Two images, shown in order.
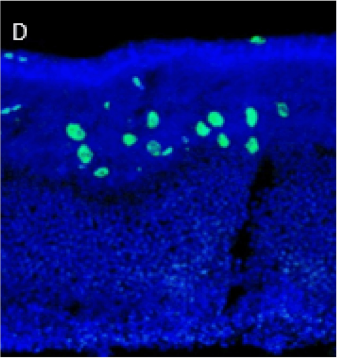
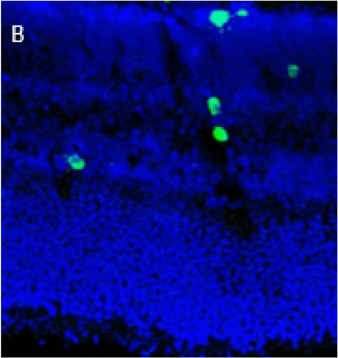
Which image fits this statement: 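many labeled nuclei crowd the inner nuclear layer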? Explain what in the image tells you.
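The first image. First image: about a dozen bright green oval nuclei form a loose row in the middle nuclear band. Second image: only a few scattered green nuclei are present.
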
